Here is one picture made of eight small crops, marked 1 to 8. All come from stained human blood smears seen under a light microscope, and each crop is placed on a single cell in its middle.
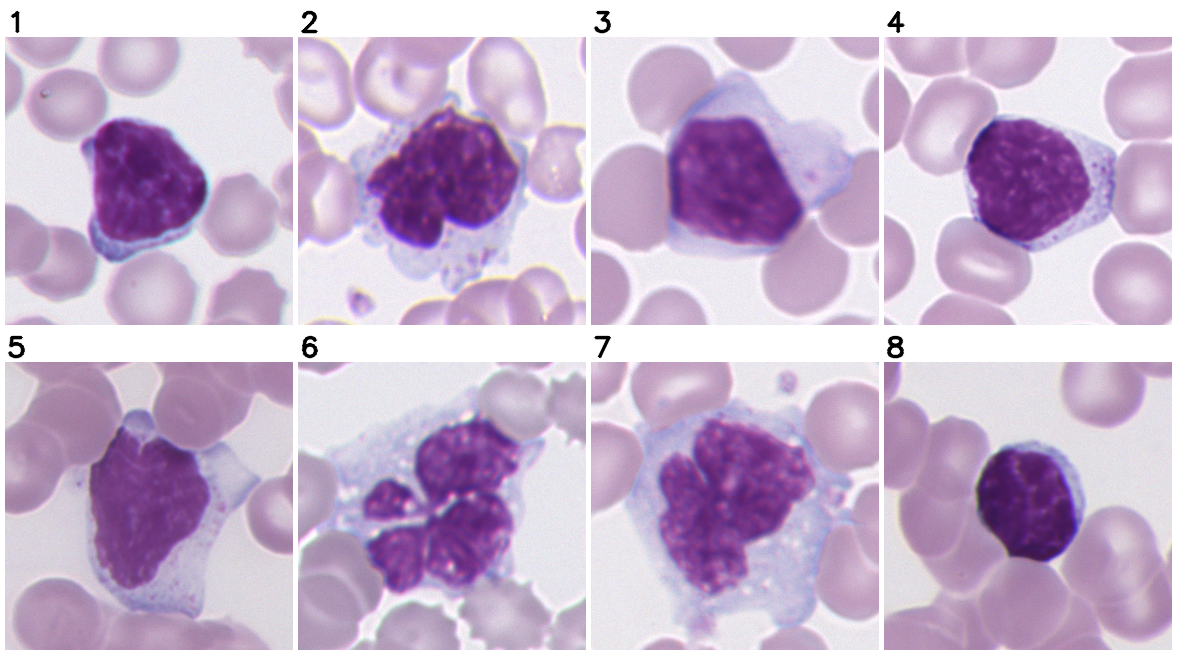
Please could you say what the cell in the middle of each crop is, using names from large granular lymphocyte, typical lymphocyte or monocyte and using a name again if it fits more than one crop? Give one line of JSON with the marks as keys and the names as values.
{"1": "typical lymphocyte", "2": "large granular lymphocyte", "3": "large granular lymphocyte", "4": "large granular lymphocyte", "5": "large granular lymphocyte", "6": "monocyte", "7": "monocyte", "8": "typical lymphocyte"}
